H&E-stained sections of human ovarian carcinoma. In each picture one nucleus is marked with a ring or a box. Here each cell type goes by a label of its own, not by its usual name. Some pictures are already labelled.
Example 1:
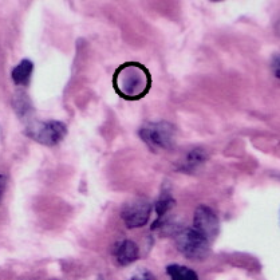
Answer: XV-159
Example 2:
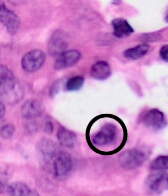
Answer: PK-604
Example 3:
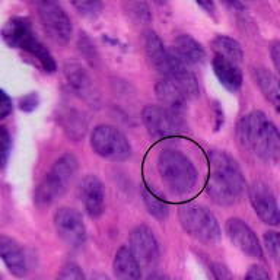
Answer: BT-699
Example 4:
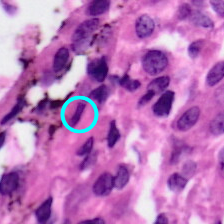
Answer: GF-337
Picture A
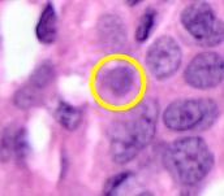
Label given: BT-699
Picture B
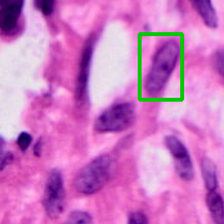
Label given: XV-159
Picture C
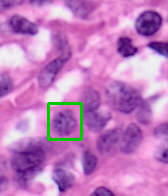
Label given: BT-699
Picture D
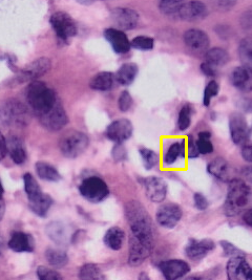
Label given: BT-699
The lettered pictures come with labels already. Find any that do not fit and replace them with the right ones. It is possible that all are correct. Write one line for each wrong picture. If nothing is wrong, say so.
No label is wrong.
